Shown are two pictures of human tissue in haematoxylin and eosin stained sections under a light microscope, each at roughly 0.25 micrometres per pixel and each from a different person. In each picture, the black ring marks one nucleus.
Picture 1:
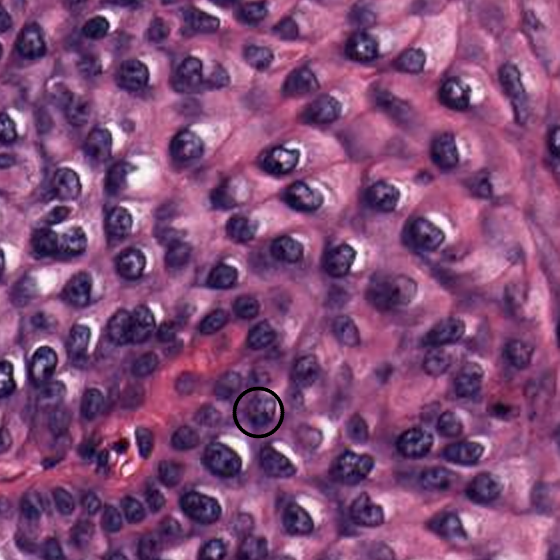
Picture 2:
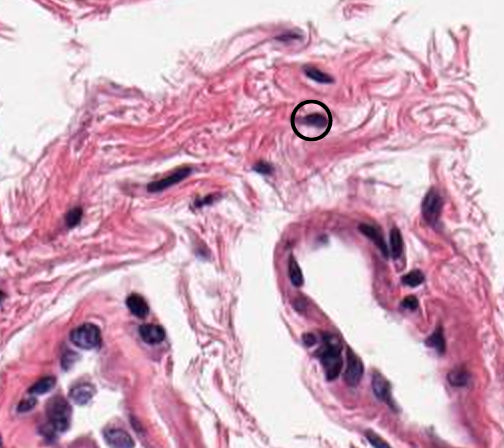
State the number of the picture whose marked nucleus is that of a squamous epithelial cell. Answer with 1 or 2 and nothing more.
1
